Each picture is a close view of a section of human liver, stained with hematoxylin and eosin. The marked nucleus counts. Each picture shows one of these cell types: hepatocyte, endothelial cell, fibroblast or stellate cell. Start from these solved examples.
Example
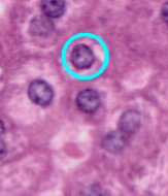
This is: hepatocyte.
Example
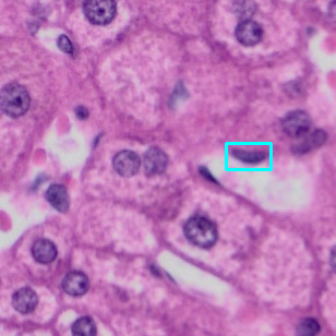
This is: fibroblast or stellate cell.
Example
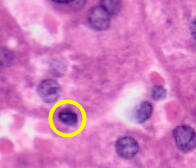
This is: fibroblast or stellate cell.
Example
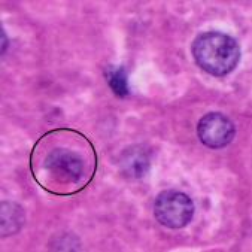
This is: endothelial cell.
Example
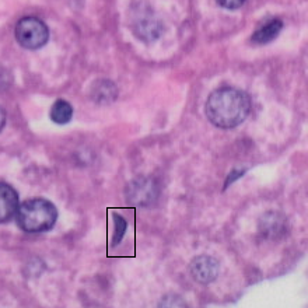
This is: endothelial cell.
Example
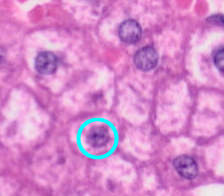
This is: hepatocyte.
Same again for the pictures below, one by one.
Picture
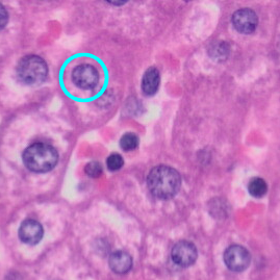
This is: hepatocyte.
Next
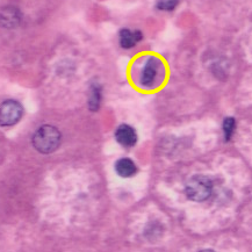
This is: endothelial cell.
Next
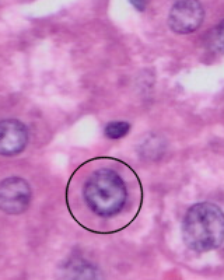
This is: hepatocyte.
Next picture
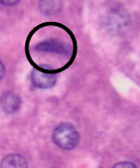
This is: fibroblast or stellate cell.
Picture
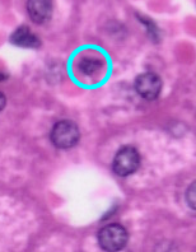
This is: fibroblast or stellate cell.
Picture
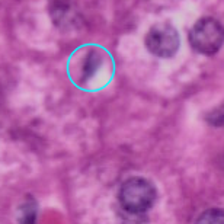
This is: endothelial cell.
